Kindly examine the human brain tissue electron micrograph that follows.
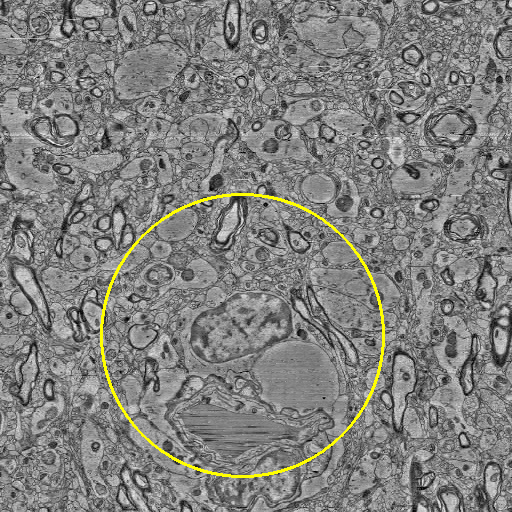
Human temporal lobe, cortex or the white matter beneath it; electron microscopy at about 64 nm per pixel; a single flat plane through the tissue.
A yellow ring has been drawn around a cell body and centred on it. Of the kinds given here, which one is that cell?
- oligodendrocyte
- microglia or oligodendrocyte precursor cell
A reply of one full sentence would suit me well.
The micrograph's ringed cell, the one at the ring's centre, is a microglial cell or oligodendrocyte precursor cell.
